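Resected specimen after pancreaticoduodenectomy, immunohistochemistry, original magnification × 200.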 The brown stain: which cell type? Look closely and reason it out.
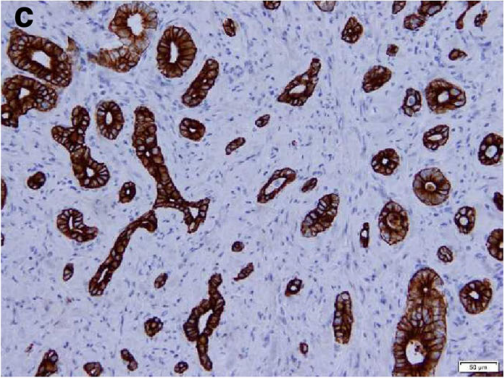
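Brown stain fills the cells lining numerous irregular glands. The surrounding spindle-cell stroma is unstained blue. On this evidence: tumor cells.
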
